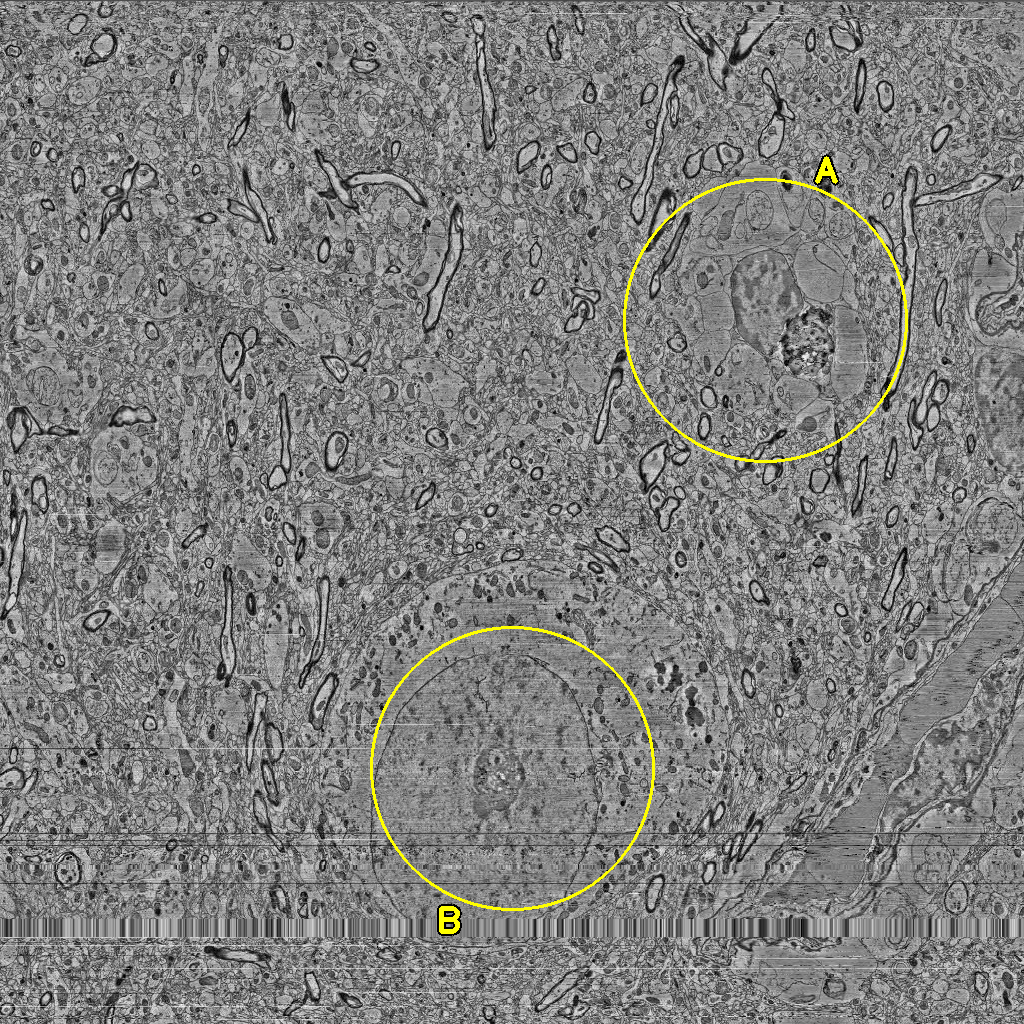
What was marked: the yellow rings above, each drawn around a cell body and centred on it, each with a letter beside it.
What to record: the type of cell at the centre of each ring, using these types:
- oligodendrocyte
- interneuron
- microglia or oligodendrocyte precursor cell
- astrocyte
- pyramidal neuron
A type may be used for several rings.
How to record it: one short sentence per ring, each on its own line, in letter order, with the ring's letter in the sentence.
Centred in ring A is a microglial cell or oligodendrocyte precursor cell.
Centred in ring B is a pyramidal neuron.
